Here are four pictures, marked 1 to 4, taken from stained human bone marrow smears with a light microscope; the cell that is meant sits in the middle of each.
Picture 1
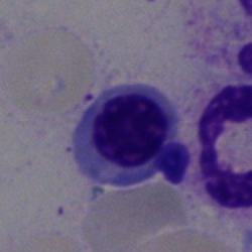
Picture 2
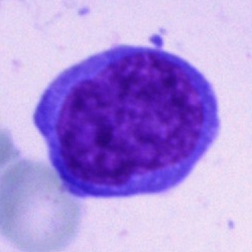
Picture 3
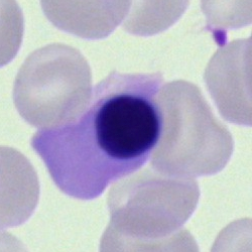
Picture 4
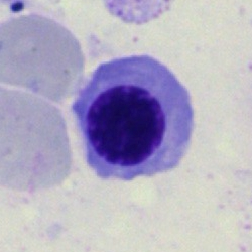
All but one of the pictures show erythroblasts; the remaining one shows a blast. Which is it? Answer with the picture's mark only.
2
